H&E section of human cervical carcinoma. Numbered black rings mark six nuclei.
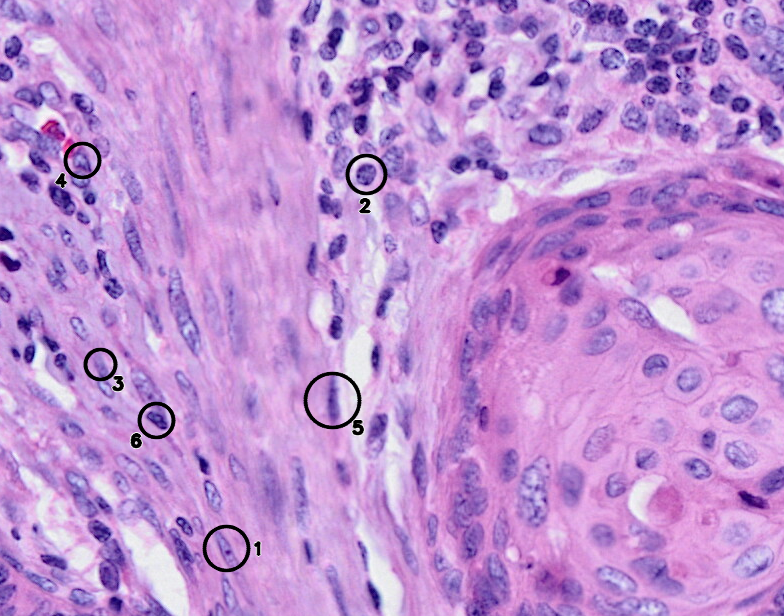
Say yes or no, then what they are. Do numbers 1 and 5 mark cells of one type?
No, cell 1 is a smooth muscle cell, and cell 5 is a fibroblast.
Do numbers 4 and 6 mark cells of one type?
No, that's off: cell 4 is an endothelial cell and cell 6 is a lymphocyte.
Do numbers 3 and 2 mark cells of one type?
No, sorry, cell 3 is a smooth muscle cell and cell 2 is a lymphocyte.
